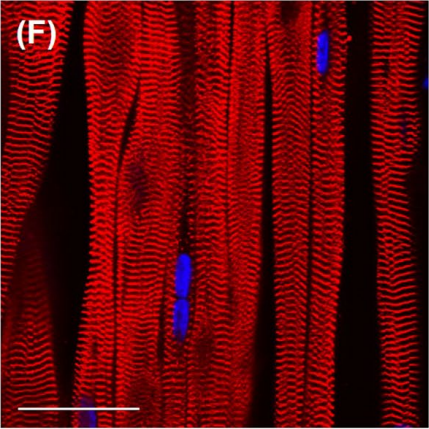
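This is a sheet of skeletal muscle fibers seen by fluorescence, showing the sarcomere structures within them. Several long, broad fibers lie side by side and run from the top to the bottom of the field, separated in places by narrow dark gaps. Throughout each fiber the red stain forms fine, closely and evenly spaced cross-bands perpendicular to the fiber's long axis, giving a striated appearance along the whole length. A few blue, elongated oval nuclei lie along the fibers, their long axes parallel to the fibers. The fibers are well aligned with one another.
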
